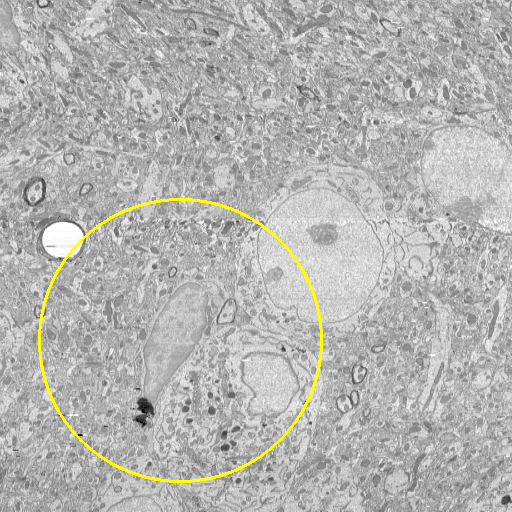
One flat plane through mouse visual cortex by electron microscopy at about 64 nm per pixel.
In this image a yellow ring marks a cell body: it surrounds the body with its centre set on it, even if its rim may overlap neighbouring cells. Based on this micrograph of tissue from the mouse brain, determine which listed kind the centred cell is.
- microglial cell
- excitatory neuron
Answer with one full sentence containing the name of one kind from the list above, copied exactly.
It is a microglial cell whose body the yellow ring encloses at its centre.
